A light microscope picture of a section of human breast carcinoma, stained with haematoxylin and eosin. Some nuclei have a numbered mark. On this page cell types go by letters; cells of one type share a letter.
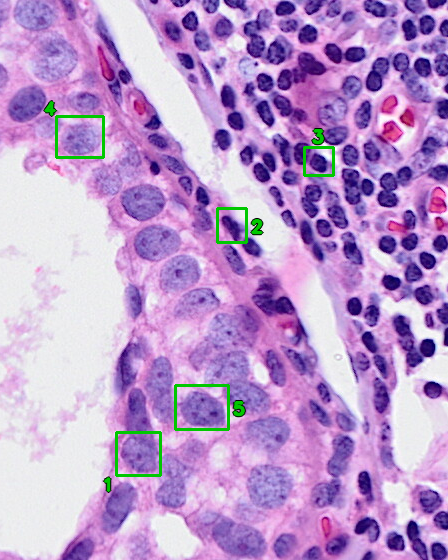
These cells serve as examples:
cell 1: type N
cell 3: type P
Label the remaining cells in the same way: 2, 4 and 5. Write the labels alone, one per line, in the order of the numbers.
type P
type N
type N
